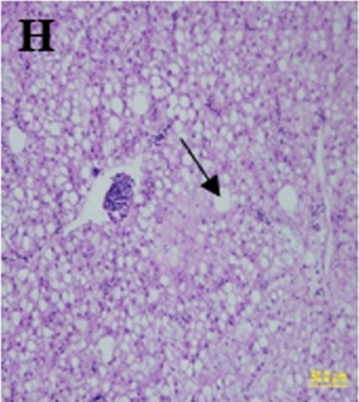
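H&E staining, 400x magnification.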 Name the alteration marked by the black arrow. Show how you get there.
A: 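The arrow points to a clear, empty round space. Numerous clear round spaces of varying size are scattered through the pink tissue. That points to this answer: large vacuoles.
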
